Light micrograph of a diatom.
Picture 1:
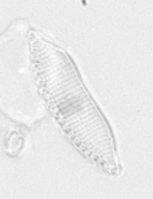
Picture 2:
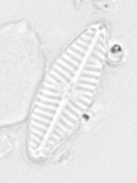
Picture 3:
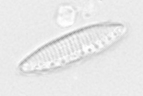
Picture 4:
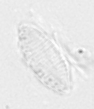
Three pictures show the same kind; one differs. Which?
Picture 2: Navicula, while the others are Nitzschia.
